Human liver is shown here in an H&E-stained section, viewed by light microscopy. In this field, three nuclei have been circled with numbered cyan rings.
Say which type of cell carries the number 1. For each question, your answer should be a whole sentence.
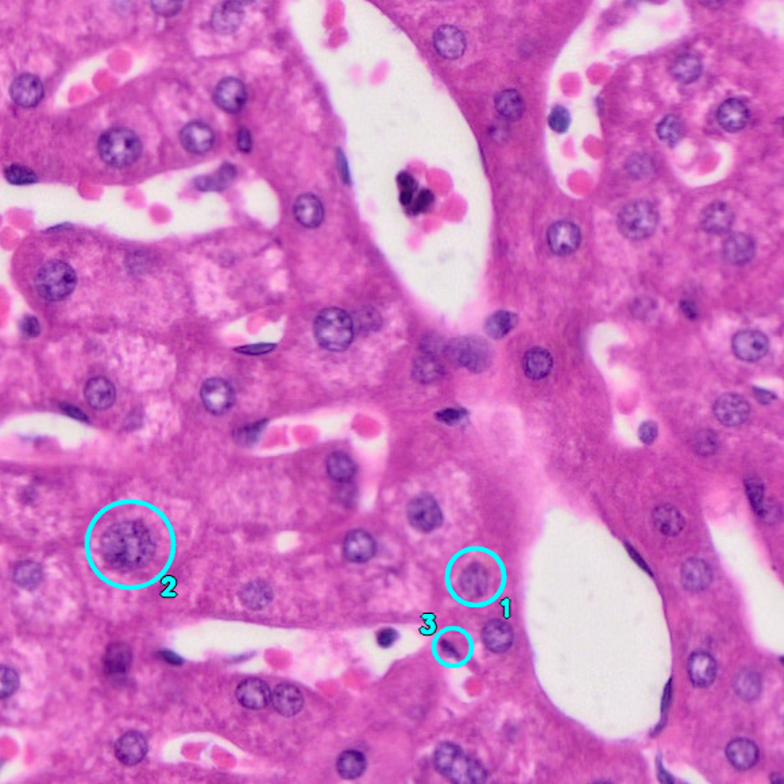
Of the numbered cells, the one labelled 1 is a hepatocyte.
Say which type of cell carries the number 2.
Belonging to a hepatocyte is the nucleus that carries the number 2.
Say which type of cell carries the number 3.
Cell 3, as marked in the section, is a fibroblast or stellate cell.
